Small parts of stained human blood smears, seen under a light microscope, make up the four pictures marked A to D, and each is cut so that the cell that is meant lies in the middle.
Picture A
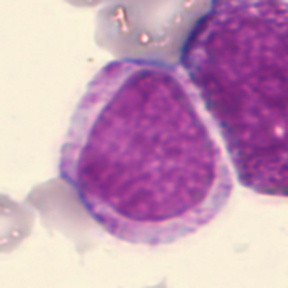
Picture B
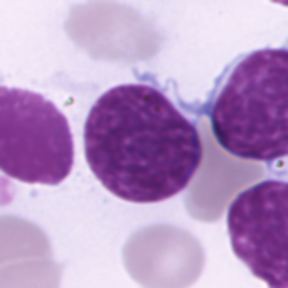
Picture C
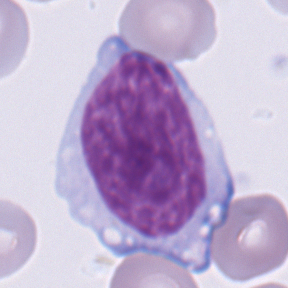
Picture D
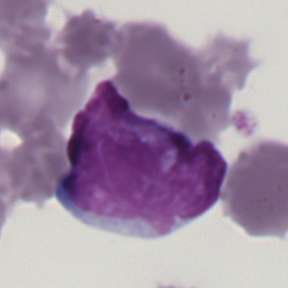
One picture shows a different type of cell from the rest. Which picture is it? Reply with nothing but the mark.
A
